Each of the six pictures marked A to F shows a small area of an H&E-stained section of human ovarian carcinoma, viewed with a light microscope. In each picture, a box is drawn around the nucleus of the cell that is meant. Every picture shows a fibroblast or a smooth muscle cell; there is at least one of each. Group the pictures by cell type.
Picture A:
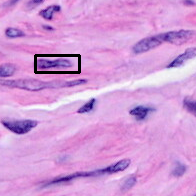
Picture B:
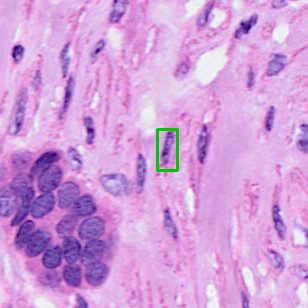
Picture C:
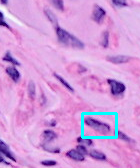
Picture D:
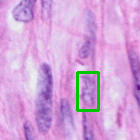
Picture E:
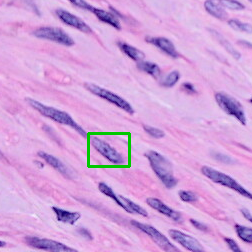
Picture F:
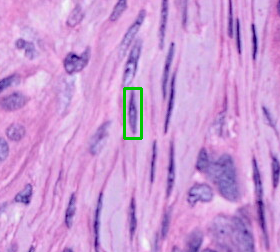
A: smooth muscle cell
B: fibroblast
C: smooth muscle cell
D: fibroblast
E: smooth muscle cell
F: fibroblast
